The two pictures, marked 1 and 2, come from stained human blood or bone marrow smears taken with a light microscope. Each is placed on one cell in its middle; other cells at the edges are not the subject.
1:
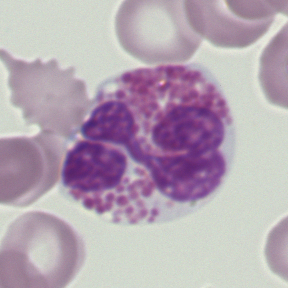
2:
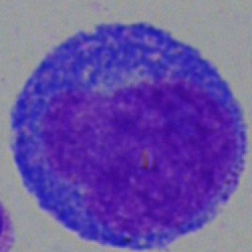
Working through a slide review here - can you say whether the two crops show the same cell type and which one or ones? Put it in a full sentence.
No, crop 1 corresponds to an eosinophil, while crop 2 corresponds to a promyelocyte.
